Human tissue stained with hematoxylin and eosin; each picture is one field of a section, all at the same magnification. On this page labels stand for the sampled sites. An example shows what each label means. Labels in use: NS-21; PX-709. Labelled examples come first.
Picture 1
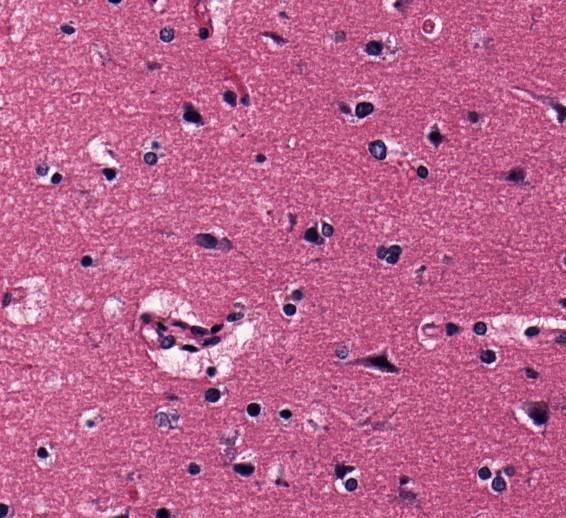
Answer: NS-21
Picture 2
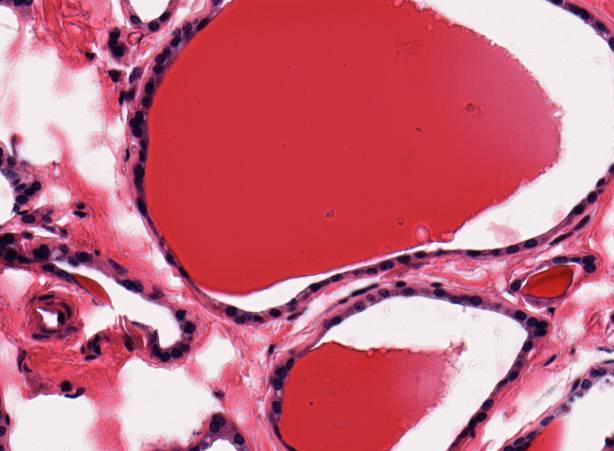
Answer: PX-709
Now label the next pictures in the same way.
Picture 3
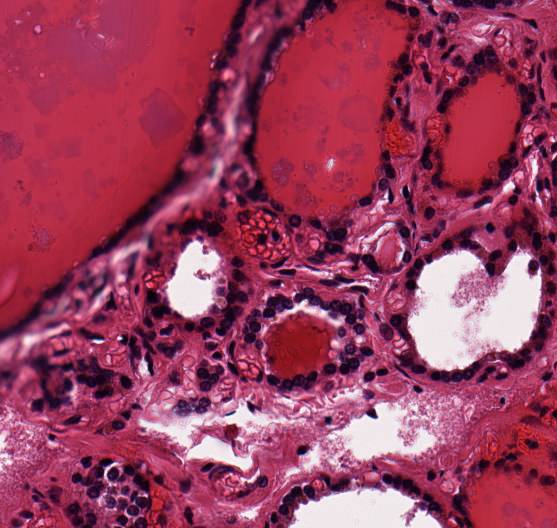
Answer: PX-709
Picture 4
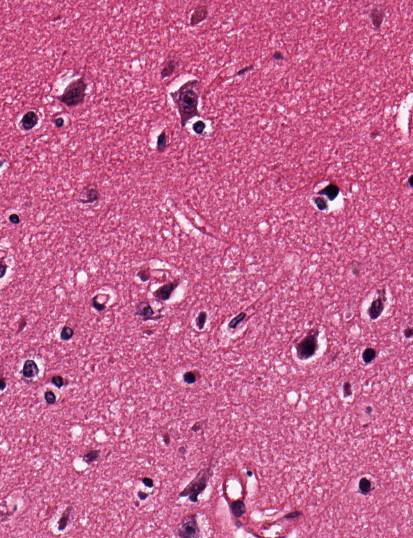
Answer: NS-21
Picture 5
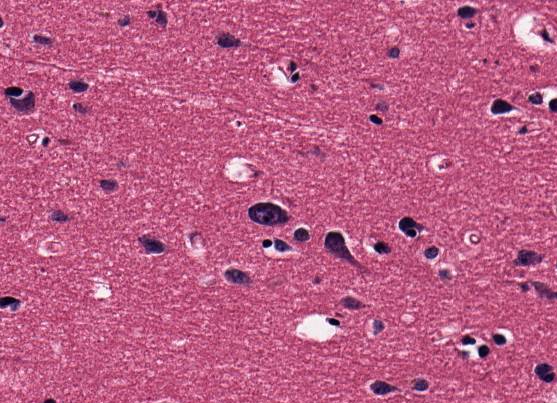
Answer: NS-21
